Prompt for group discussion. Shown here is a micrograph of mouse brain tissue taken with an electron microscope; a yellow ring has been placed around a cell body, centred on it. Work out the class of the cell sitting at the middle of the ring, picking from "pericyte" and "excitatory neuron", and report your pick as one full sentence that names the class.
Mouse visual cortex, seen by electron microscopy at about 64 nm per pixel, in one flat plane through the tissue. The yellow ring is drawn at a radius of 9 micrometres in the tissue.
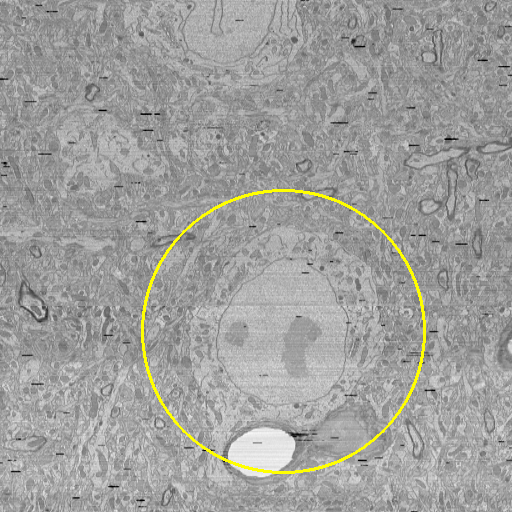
The cell sitting at the middle of the yellow ring is an excitatory neuron.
